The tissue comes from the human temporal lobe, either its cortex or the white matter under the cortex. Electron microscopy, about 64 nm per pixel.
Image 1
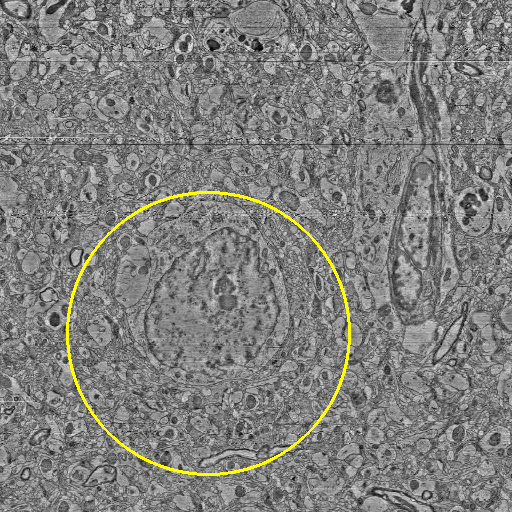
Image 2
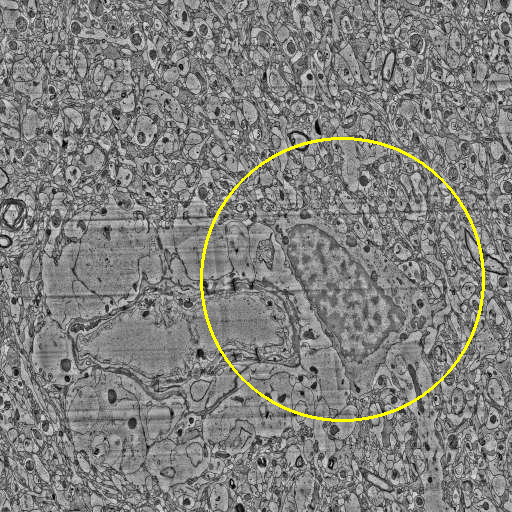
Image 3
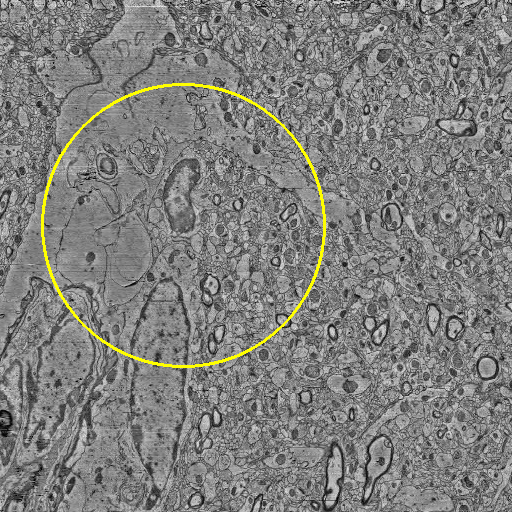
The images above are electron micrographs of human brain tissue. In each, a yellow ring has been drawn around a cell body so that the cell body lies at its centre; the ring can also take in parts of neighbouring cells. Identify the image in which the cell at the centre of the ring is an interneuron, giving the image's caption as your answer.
Image 1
